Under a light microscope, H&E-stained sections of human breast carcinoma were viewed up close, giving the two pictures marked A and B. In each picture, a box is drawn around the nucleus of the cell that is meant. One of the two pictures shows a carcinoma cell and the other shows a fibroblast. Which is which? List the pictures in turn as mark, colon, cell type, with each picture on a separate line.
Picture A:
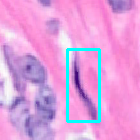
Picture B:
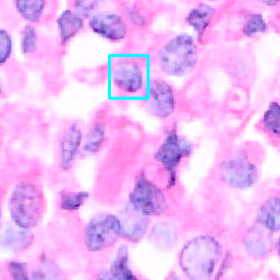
A: fibroblast
B: carcinoma cell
